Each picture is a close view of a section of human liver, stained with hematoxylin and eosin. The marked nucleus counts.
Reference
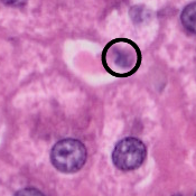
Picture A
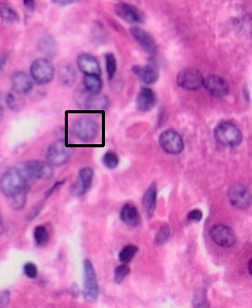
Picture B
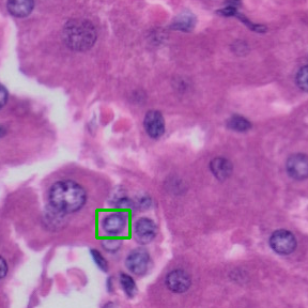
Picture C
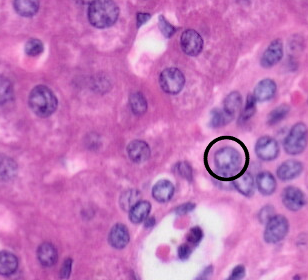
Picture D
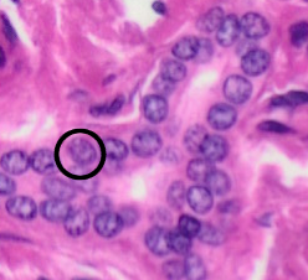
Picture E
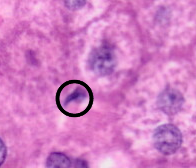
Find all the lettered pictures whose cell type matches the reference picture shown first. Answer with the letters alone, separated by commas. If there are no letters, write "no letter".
no letter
